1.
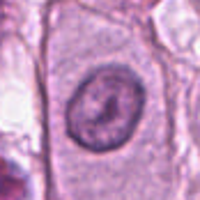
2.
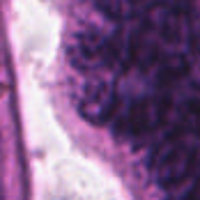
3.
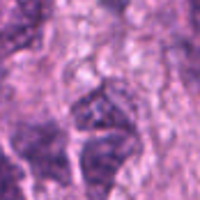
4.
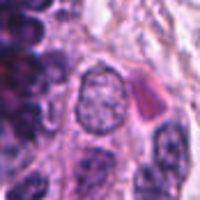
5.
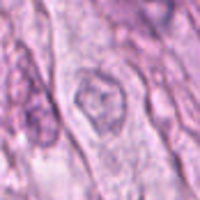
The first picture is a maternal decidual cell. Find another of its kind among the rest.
Picture 5.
